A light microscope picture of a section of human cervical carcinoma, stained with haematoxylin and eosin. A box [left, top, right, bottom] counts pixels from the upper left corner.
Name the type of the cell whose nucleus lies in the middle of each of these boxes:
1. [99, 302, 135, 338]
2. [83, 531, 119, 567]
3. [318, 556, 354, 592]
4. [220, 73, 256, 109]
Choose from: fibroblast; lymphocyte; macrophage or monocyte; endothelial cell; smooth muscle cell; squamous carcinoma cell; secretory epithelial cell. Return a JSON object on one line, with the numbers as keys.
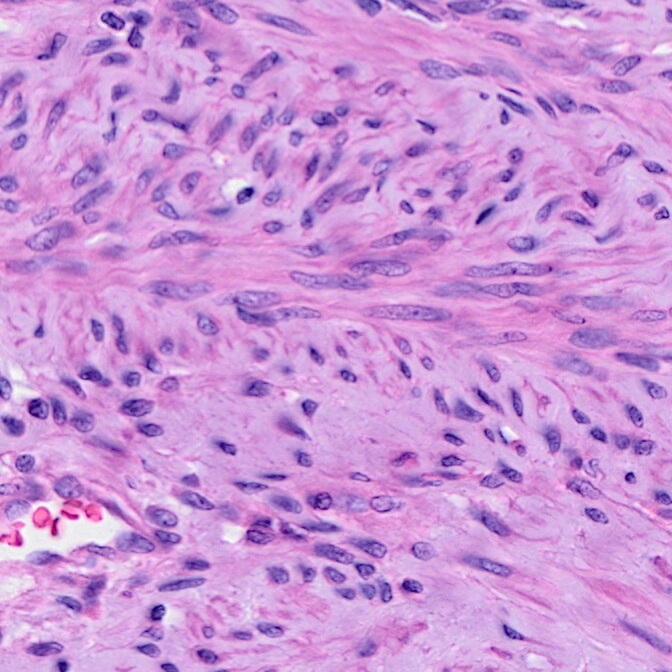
{"1": "smooth muscle cell", "2": "endothelial cell", "3": "smooth muscle cell", "4": "smooth muscle cell"}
